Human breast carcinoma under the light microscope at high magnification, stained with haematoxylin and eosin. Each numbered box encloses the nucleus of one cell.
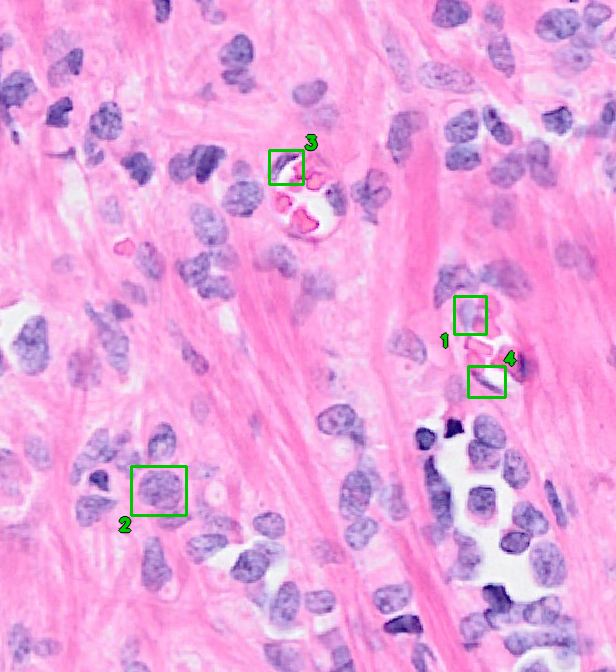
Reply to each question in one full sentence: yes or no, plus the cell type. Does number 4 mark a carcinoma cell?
No, rather than a carcinoma cell, cell number 4 is an endothelial cell.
